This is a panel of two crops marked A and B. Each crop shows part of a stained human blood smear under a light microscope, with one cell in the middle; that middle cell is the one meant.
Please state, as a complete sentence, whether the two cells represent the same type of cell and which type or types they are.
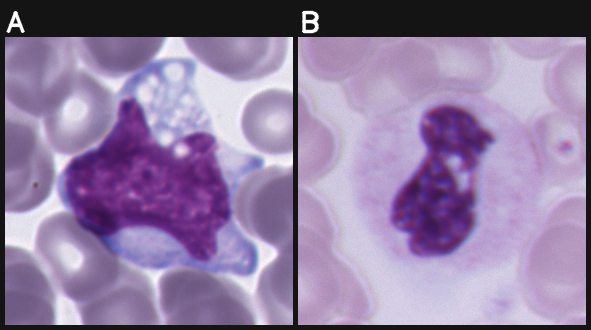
No, crop B centres on a segmented neutrophil, and crop A centres on a monocyte.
